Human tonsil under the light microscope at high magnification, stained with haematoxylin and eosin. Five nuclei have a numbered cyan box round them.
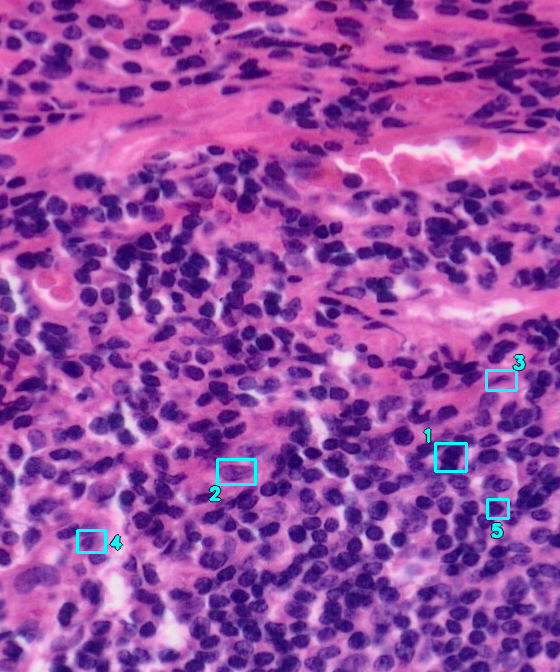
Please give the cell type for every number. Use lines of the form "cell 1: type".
cell 1: small lymphocyte
cell 2: endothelial cell
cell 3: endothelial cell
cell 4: endothelial cell
cell 5: small lymphocyte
